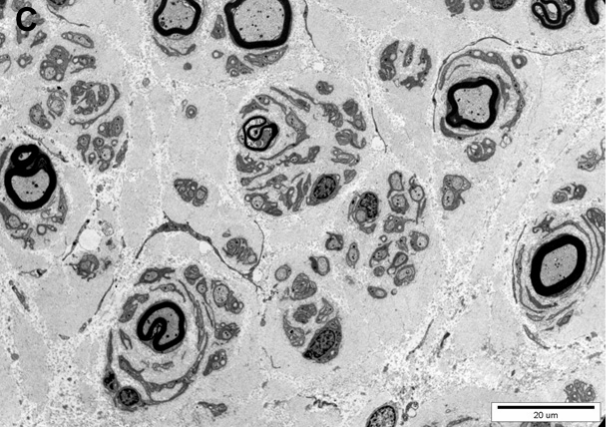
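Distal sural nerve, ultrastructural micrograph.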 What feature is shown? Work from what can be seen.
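Onion bulbs. Several myelinated axons are encircled by concentric layers of thin cell processes. The concentric layers form round whorls around the dark myelin rings.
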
